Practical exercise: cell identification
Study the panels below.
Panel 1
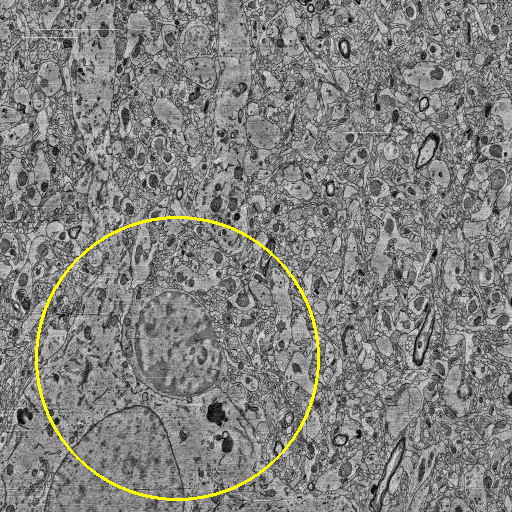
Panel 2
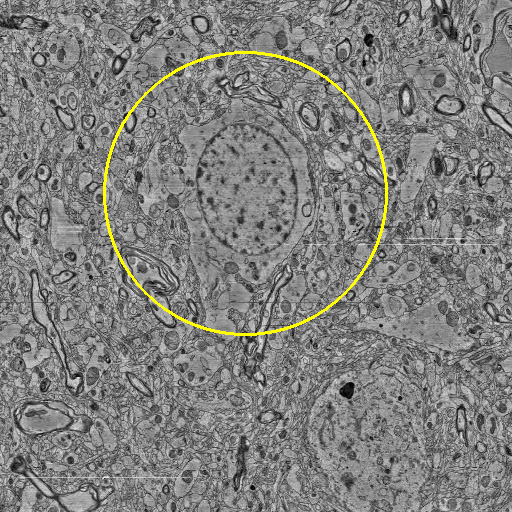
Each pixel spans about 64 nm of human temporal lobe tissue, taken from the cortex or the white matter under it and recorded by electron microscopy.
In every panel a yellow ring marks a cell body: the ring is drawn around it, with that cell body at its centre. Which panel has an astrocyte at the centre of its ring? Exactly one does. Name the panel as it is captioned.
Panel 2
